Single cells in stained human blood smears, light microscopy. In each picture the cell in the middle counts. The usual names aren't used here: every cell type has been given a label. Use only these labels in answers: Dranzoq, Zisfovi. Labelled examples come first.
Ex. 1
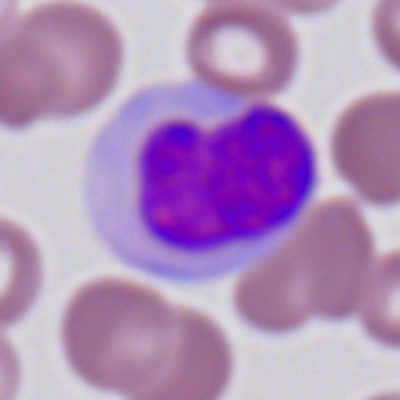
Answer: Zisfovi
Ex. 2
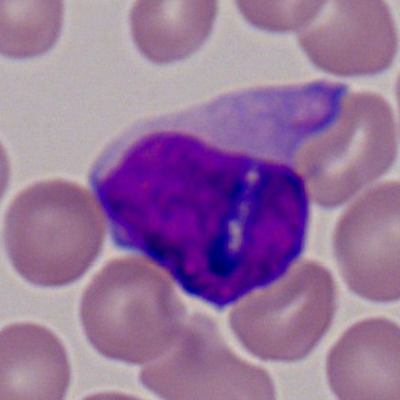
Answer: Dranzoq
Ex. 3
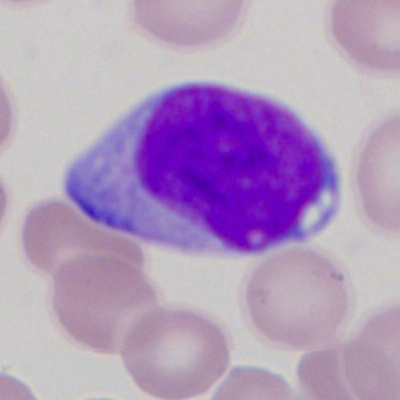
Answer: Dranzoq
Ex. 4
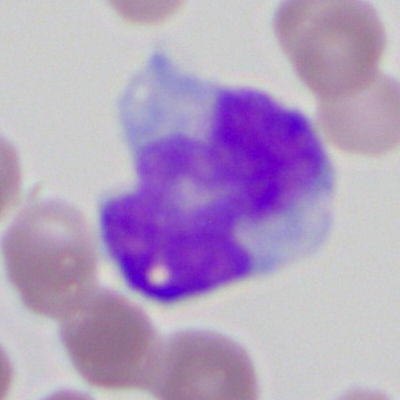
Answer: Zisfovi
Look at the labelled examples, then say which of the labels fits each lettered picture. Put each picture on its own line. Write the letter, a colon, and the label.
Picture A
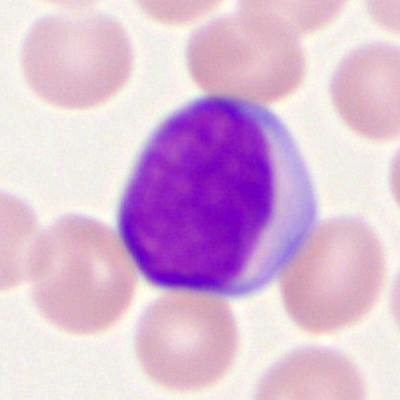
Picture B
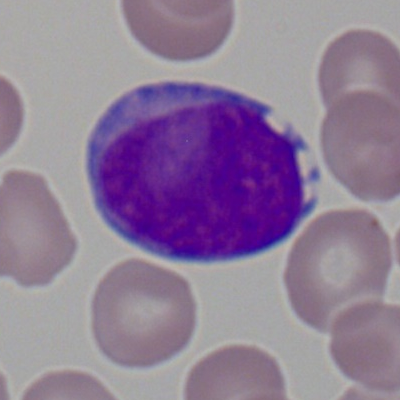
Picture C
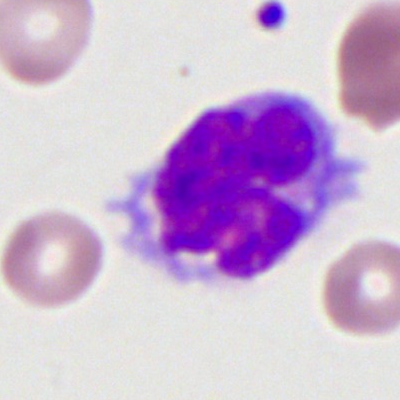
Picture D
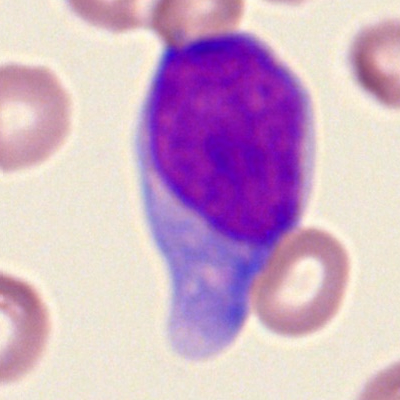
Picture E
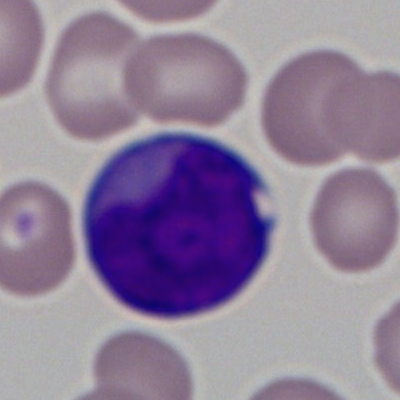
A: Dranzoq
B: Dranzoq
C: Zisfovi
D: Dranzoq
E: Dranzoq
